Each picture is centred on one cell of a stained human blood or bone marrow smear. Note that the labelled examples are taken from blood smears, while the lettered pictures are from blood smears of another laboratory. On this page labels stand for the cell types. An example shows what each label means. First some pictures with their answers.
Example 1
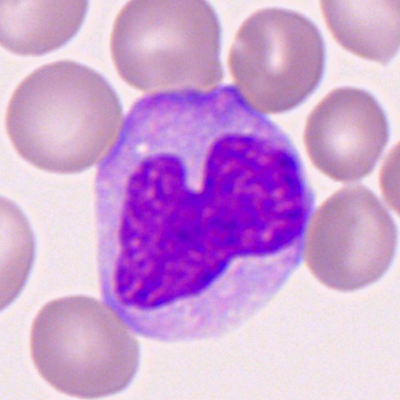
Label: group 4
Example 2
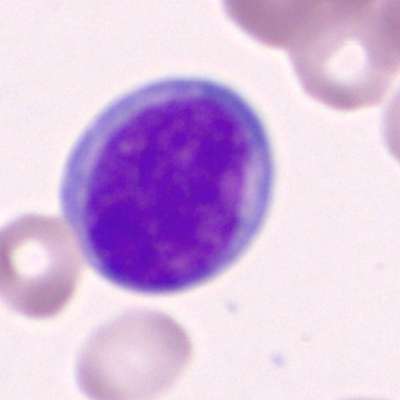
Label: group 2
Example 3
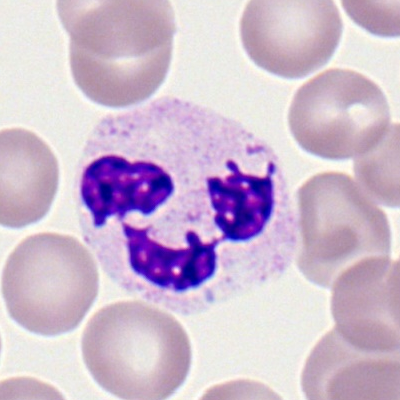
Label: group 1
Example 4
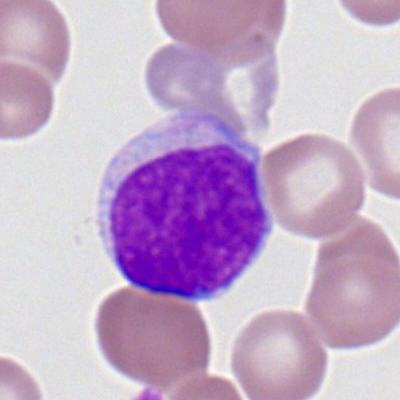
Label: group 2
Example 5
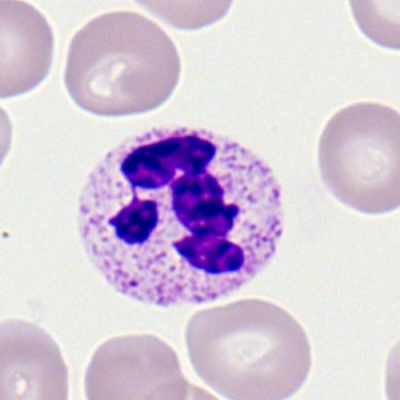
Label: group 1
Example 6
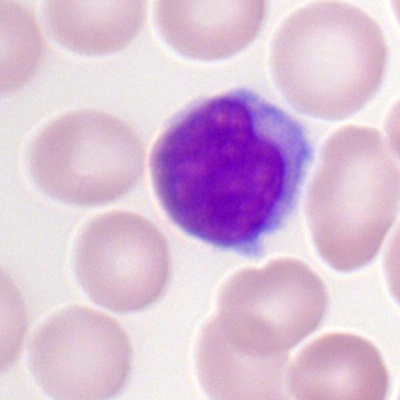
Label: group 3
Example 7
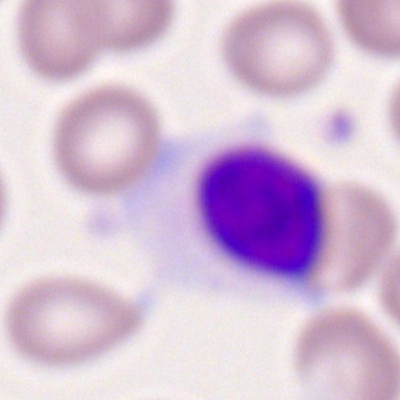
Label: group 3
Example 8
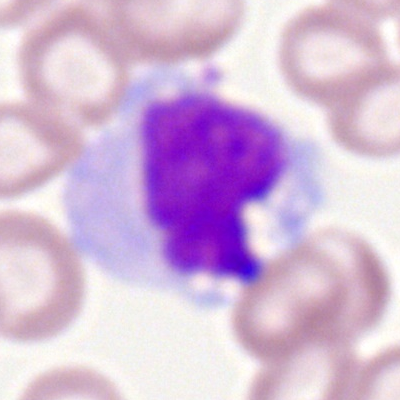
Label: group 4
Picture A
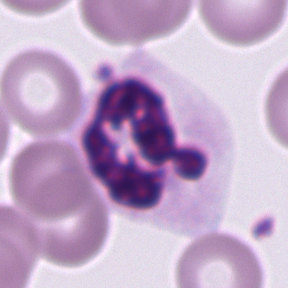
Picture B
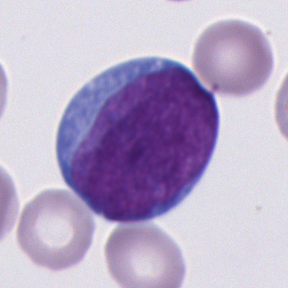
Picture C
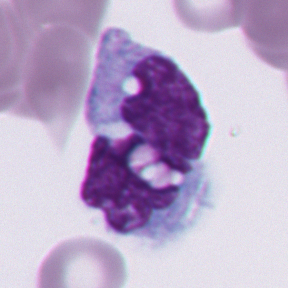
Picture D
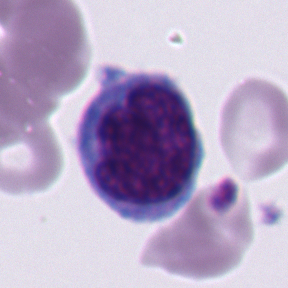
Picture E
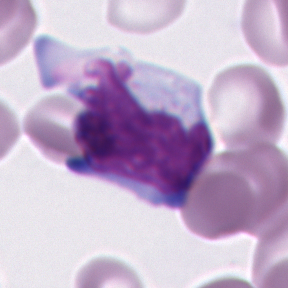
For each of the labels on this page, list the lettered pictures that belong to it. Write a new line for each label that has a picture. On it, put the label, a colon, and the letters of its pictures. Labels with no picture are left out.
group 4: C, D
group 2: B
group 1: A
group 3: E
